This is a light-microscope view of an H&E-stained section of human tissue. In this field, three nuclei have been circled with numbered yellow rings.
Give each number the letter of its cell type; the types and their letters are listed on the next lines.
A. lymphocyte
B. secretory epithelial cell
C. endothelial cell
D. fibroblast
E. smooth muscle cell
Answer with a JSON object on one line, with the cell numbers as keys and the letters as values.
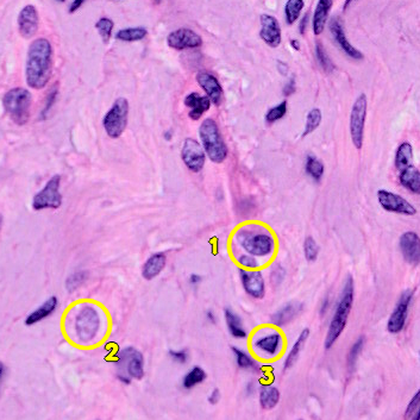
{"1": "C", "2": "C", "3": "D"}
